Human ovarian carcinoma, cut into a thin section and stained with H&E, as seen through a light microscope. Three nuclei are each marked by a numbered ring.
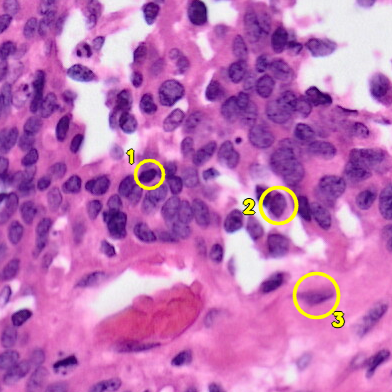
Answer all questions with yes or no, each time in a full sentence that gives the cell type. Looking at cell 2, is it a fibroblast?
No, rather than a fibroblast, cell number 2 is a carcinoma cell.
